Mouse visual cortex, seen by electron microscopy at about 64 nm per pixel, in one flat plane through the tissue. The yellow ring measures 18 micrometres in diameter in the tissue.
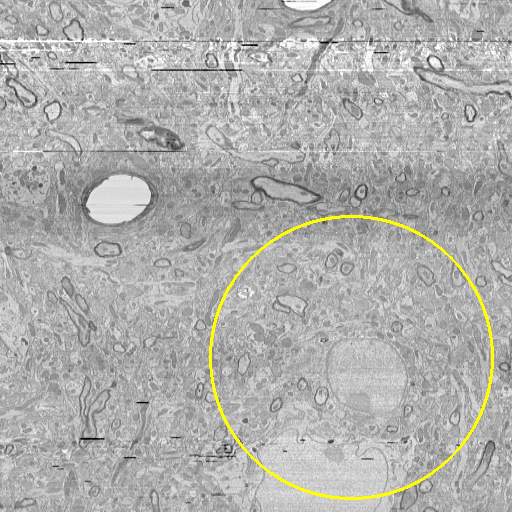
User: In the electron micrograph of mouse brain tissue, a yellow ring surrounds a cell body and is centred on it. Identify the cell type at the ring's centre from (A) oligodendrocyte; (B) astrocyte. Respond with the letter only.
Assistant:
B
